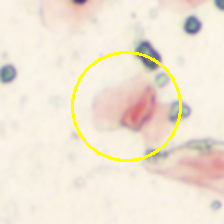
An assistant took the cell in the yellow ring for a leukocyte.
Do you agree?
I disagree, it is a cornified epithelial cell.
